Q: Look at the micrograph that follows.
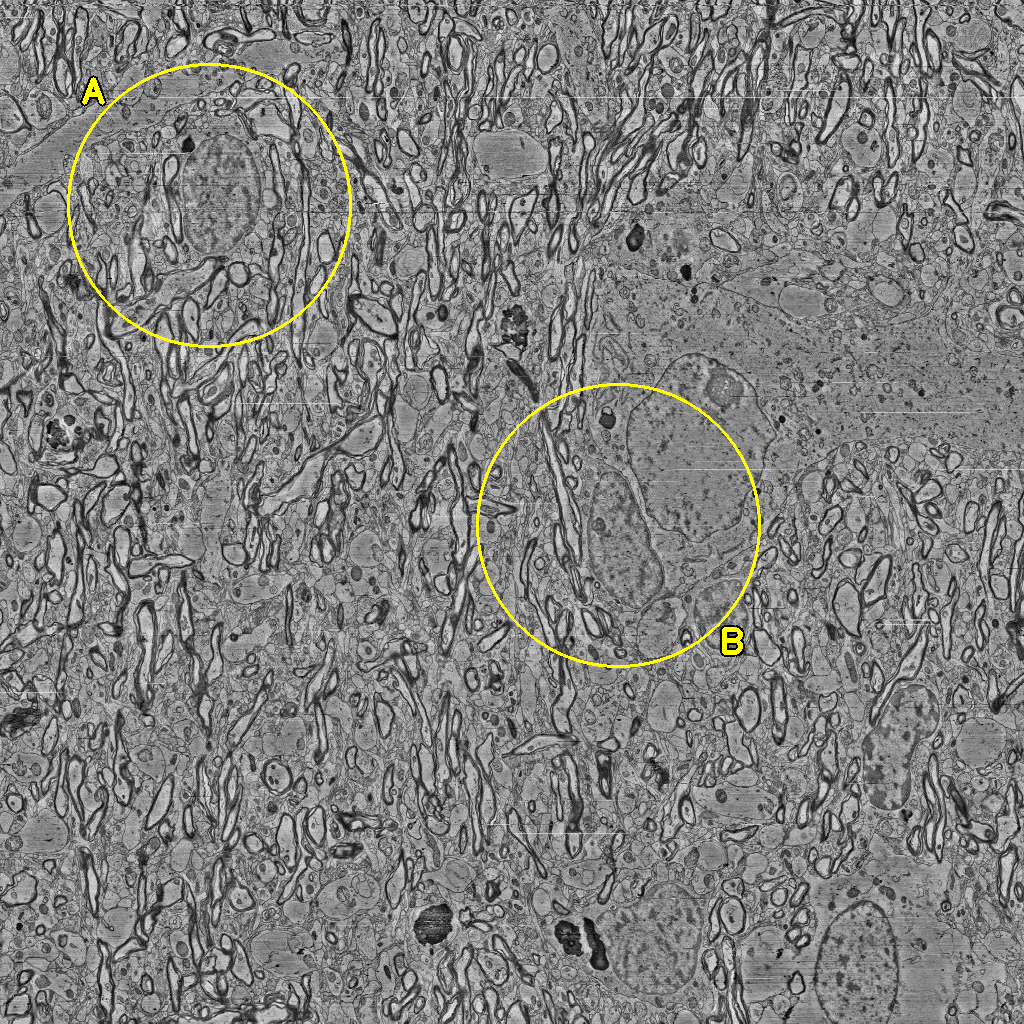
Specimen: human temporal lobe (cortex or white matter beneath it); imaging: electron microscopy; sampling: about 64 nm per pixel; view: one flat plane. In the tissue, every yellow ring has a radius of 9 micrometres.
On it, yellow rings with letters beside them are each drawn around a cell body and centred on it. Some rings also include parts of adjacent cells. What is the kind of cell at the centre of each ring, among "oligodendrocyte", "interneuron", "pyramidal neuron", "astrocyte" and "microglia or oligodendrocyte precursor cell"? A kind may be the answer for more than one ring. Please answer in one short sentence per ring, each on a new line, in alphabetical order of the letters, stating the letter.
Ring A surrounds the cell body of an oligodendrocyte.
Ring B surrounds the cell body of an oligodendrocyte.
